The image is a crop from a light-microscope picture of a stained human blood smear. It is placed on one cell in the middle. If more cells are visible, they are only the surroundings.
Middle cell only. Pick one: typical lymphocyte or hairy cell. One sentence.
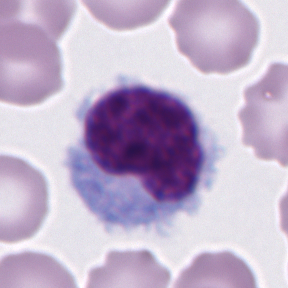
On this slide crop, the central cell is a hairy cell.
